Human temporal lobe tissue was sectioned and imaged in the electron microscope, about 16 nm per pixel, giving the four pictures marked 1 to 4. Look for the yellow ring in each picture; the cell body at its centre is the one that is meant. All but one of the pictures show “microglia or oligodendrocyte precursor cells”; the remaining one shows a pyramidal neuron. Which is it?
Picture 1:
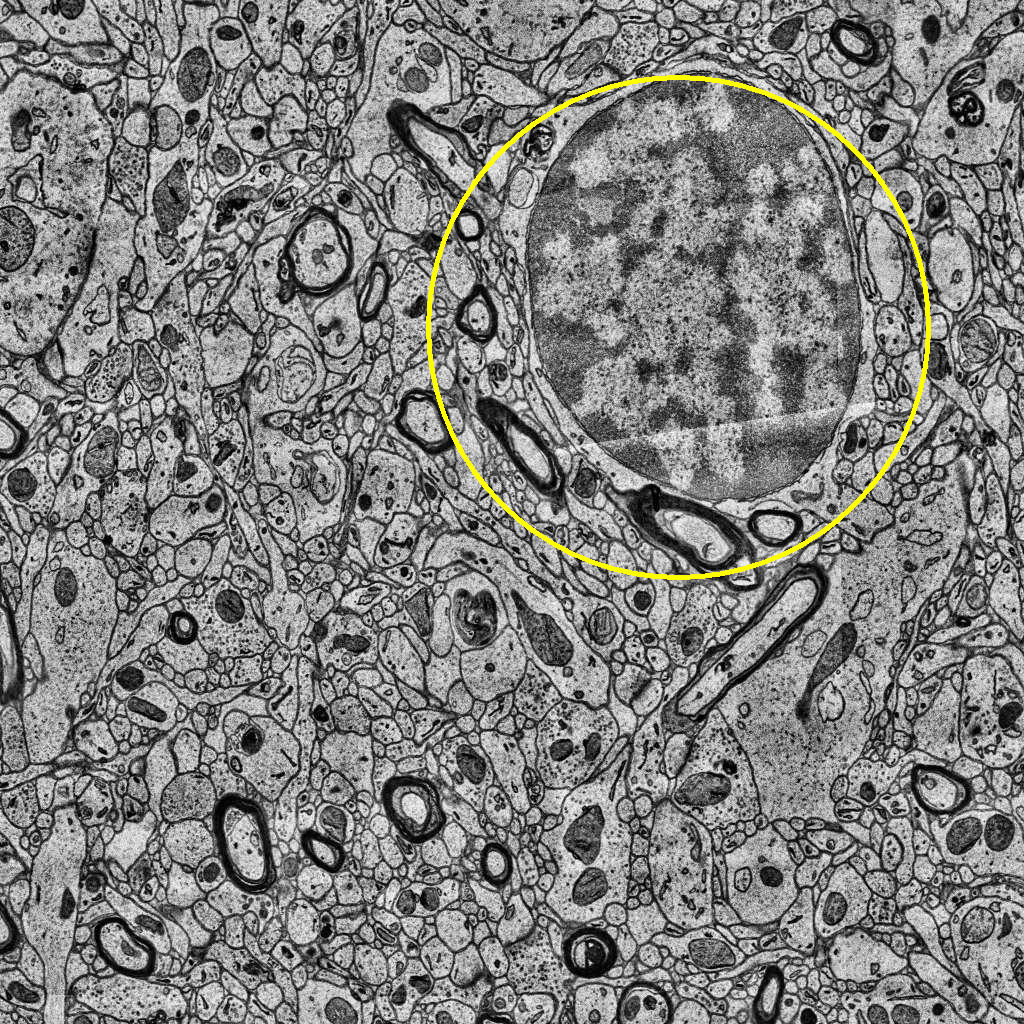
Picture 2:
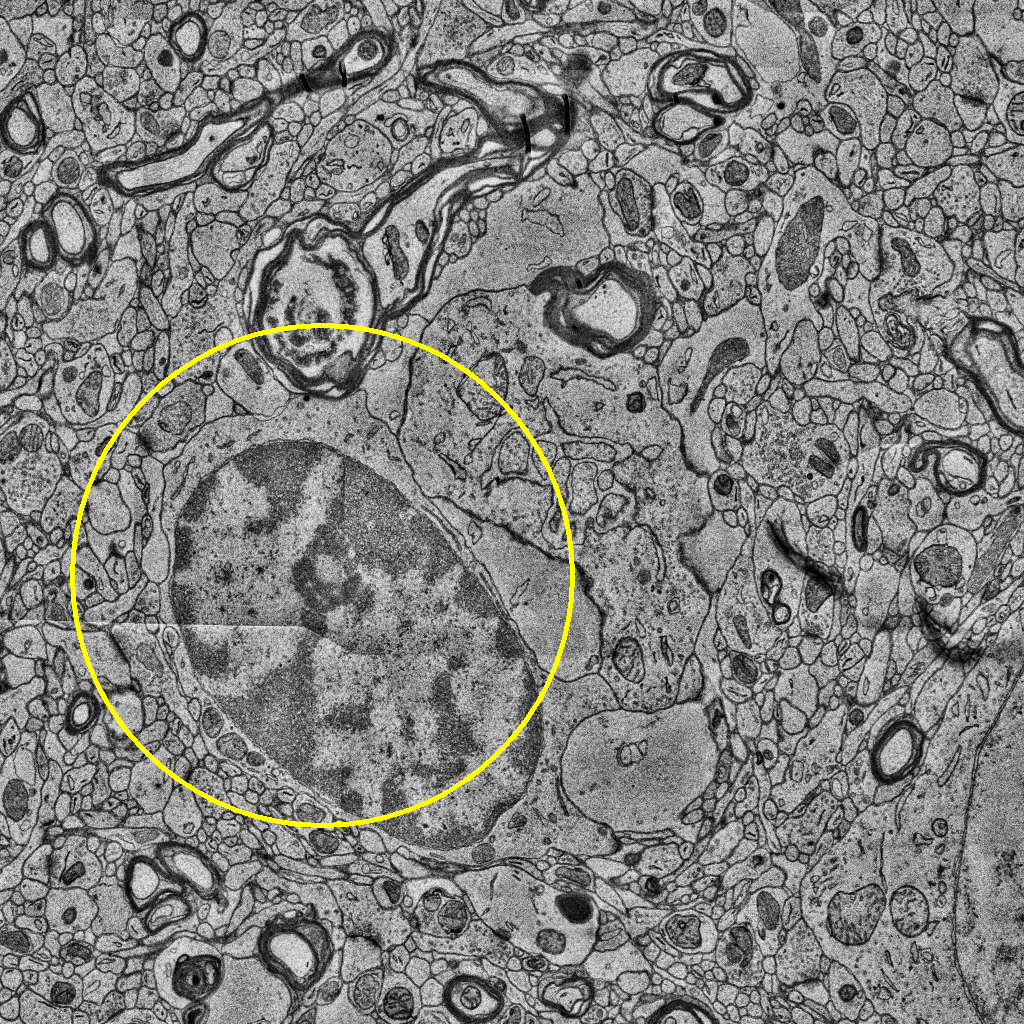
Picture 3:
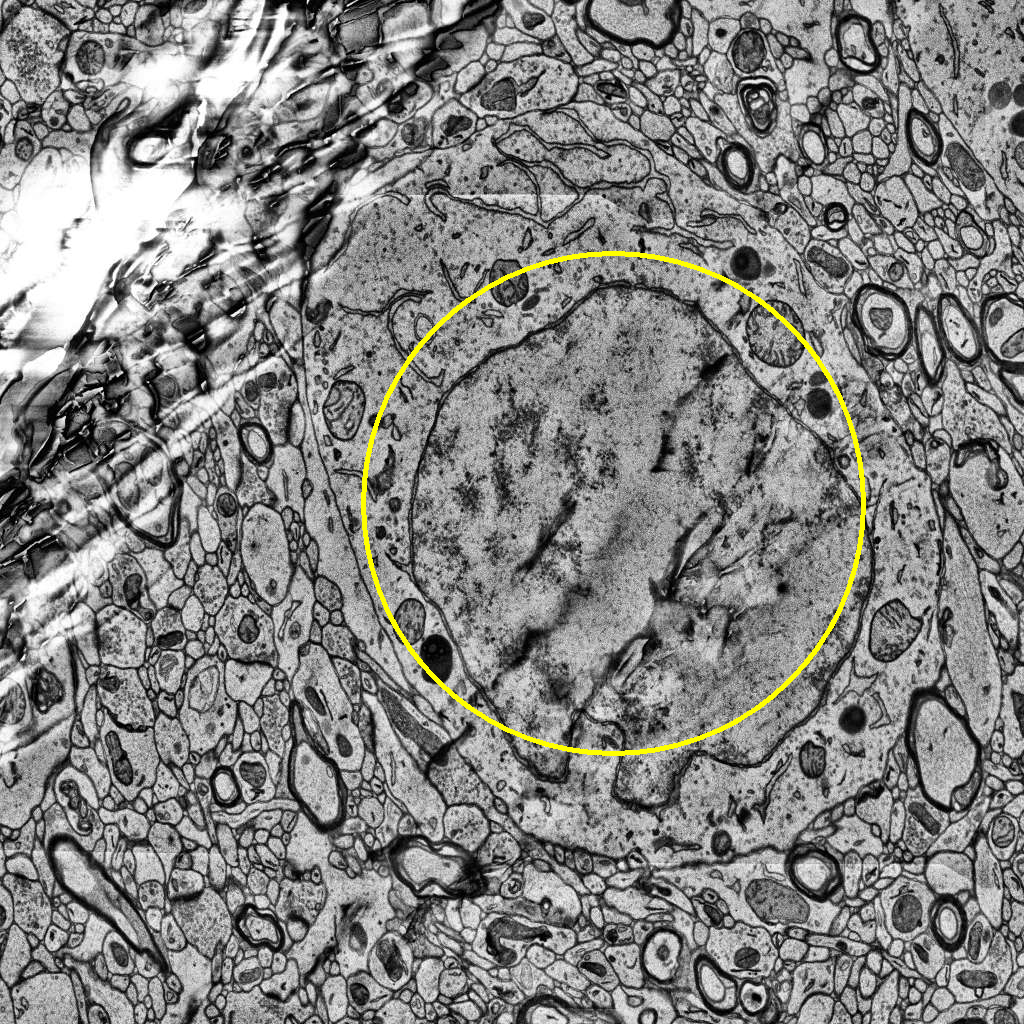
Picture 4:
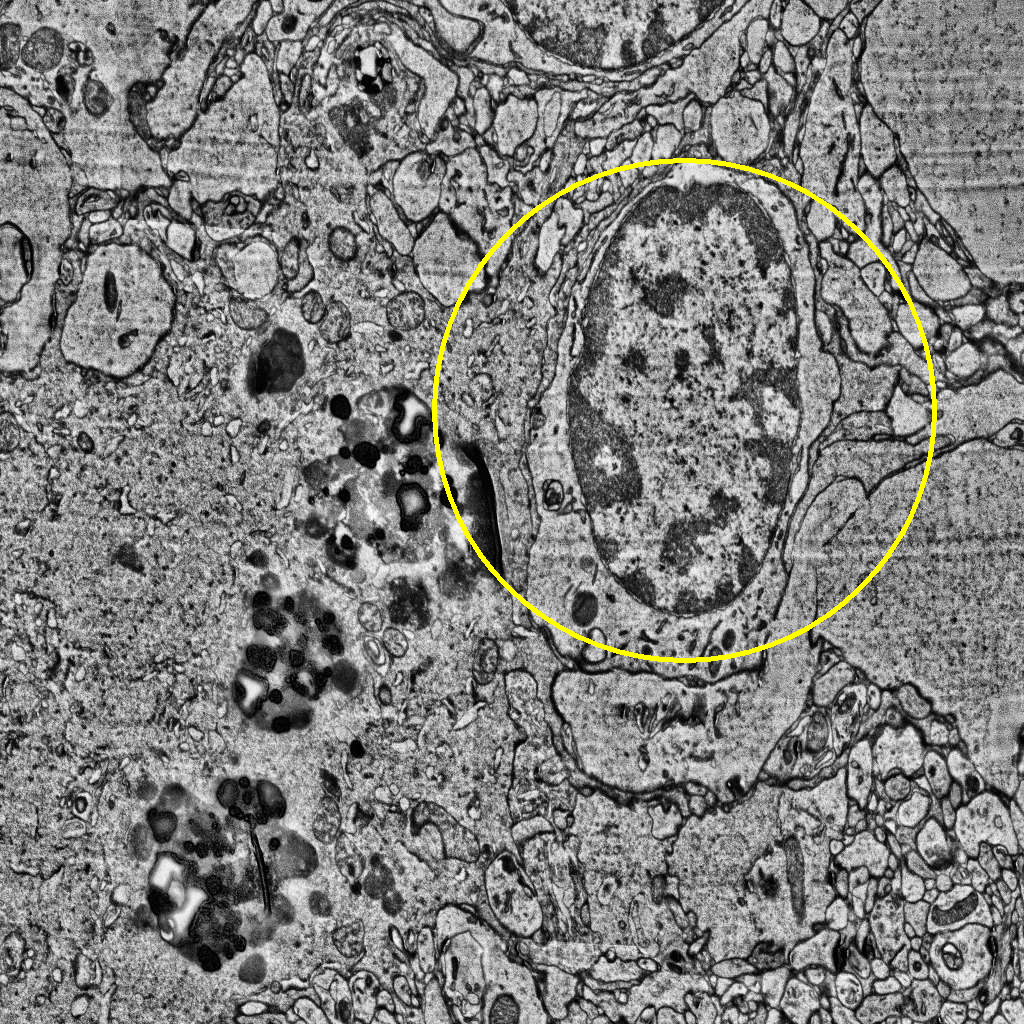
The pyramidal neuron is the one in picture 3.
